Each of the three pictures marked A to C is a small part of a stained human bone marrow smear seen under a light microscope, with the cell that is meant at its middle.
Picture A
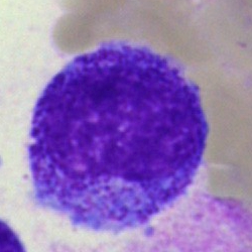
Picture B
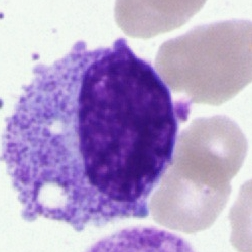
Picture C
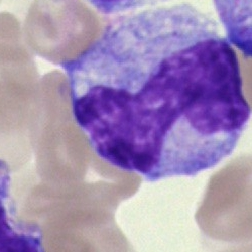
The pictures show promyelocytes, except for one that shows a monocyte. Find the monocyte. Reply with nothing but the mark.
C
